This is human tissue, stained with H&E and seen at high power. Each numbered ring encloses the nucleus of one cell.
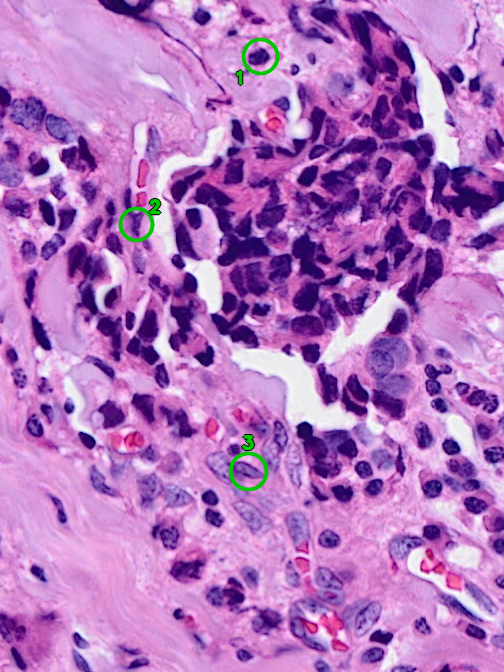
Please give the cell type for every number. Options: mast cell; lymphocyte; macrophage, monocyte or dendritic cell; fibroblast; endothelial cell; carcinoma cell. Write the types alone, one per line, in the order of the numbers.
lymphocyte
endothelial cell
endothelial cell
